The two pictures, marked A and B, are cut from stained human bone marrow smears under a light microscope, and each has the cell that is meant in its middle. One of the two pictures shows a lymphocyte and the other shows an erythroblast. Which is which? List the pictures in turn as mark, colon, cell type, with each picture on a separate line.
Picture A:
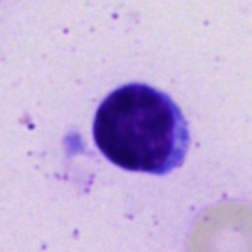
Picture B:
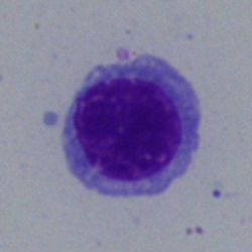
A: lymphocyte
B: erythroblast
